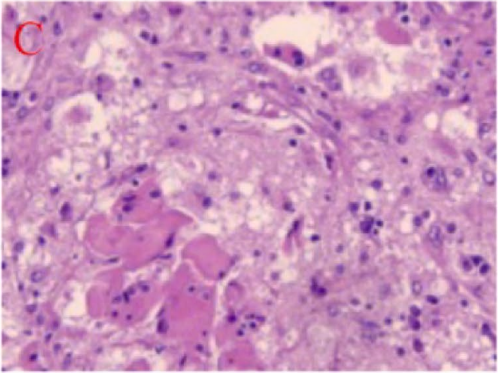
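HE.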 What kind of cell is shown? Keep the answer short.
Histiocytes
